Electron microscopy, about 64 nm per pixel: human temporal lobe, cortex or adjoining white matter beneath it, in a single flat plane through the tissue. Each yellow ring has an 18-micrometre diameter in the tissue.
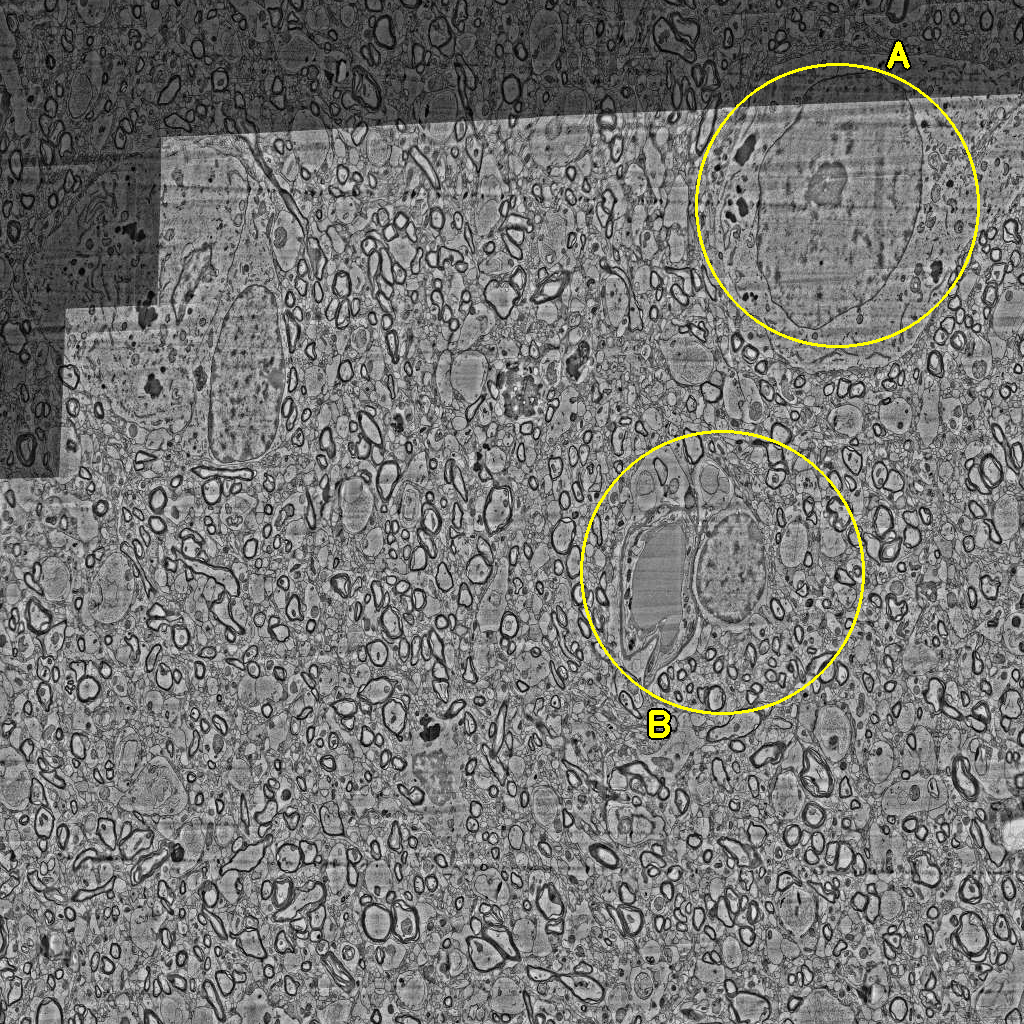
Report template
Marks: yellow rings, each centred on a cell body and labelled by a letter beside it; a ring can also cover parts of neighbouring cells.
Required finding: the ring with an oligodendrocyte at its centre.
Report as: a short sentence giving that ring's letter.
Ring B holds that cell at its centre.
